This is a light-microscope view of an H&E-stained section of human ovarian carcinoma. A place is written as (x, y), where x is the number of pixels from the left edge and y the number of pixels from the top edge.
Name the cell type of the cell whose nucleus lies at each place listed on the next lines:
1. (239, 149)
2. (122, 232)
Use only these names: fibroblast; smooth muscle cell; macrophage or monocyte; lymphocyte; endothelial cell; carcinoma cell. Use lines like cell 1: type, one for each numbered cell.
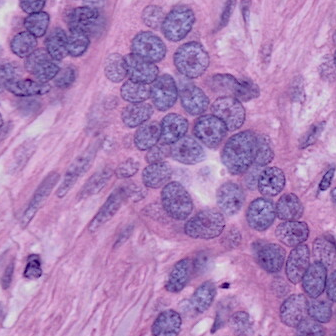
cell 1: carcinoma cell
cell 2: fibroblast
